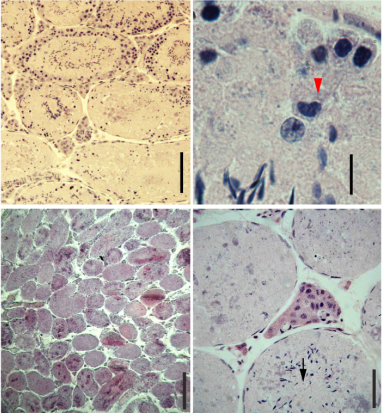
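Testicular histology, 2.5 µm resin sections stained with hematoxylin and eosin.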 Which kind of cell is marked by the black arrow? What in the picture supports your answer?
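The arrow points to thin, dark, elongated nuclei inside an otherwise pale, largely acellular tubule. That points to this answer: elongated spermatids.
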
